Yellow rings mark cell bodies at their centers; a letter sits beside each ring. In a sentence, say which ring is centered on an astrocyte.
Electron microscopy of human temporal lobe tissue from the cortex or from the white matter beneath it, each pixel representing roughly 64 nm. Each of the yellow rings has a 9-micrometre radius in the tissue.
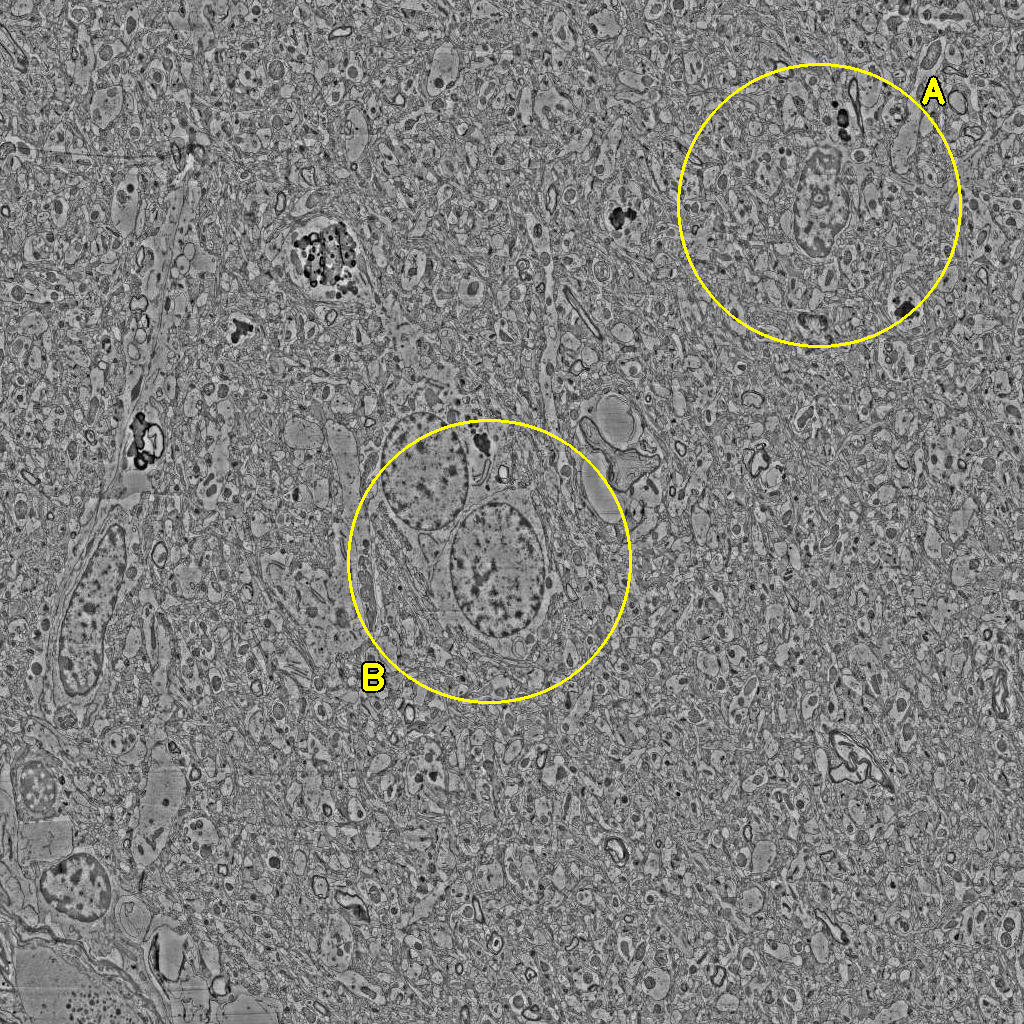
It is ring B.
